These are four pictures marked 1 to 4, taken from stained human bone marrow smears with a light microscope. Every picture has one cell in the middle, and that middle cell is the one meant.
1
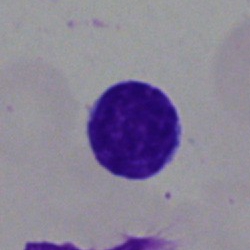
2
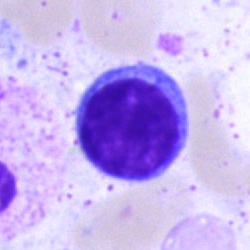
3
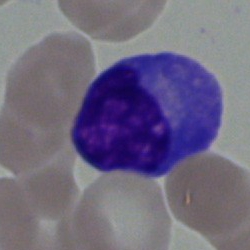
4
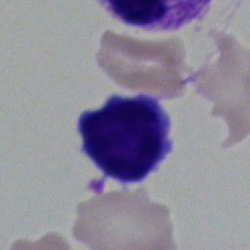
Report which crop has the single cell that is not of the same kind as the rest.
3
